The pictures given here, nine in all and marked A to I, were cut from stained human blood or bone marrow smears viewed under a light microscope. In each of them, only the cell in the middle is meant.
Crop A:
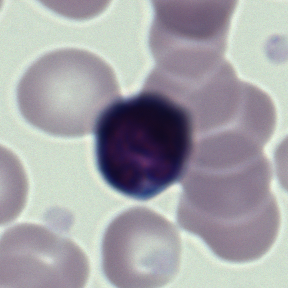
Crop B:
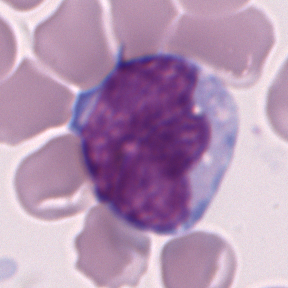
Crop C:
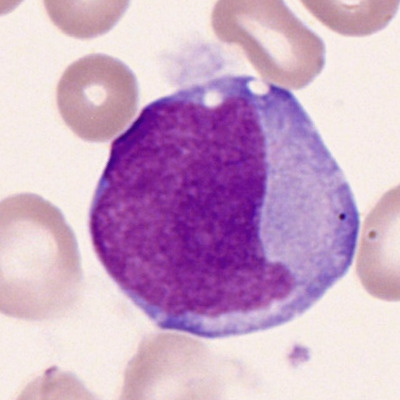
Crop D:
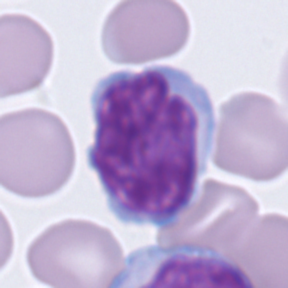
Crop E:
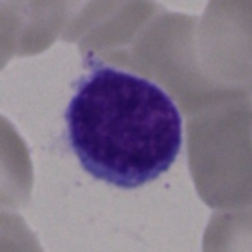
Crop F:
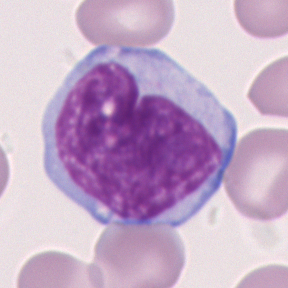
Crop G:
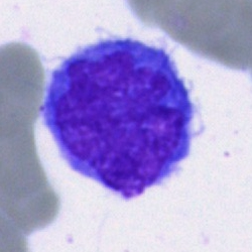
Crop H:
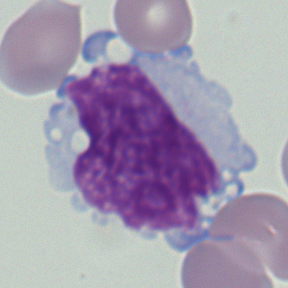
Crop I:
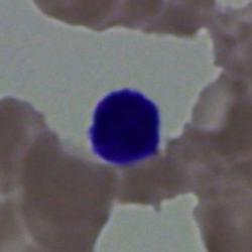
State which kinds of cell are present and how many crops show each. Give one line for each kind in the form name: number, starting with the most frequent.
blast: 6
lymphocyte: 3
